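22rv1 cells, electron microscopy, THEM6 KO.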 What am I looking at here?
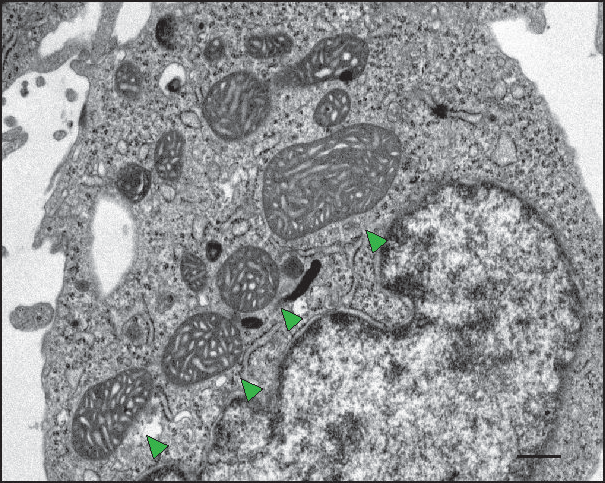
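Transmission electron micrograph of part of a cultured cell showing the nucleus at lower right and a cytoplasm crowded with mitochondria. The mitochondria are oval to elongated with dense lamellar cristae, and several are large. Membranous cisternae run between the mitochondria and along the nuclear envelope, and the cell surface at upper left carries small protrusions beside clear extracellular space.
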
